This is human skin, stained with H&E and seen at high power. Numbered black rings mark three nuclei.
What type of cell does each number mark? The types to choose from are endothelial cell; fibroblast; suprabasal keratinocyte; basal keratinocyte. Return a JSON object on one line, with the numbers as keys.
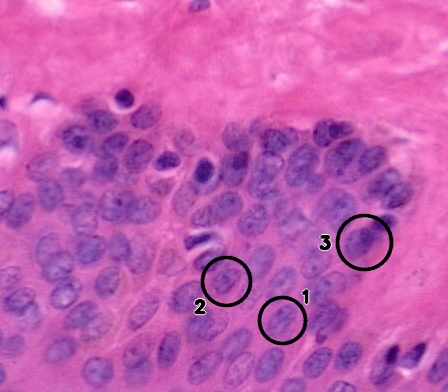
{"1": "suprabasal keratinocyte", "2": "suprabasal keratinocyte", "3": "basal keratinocyte"}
